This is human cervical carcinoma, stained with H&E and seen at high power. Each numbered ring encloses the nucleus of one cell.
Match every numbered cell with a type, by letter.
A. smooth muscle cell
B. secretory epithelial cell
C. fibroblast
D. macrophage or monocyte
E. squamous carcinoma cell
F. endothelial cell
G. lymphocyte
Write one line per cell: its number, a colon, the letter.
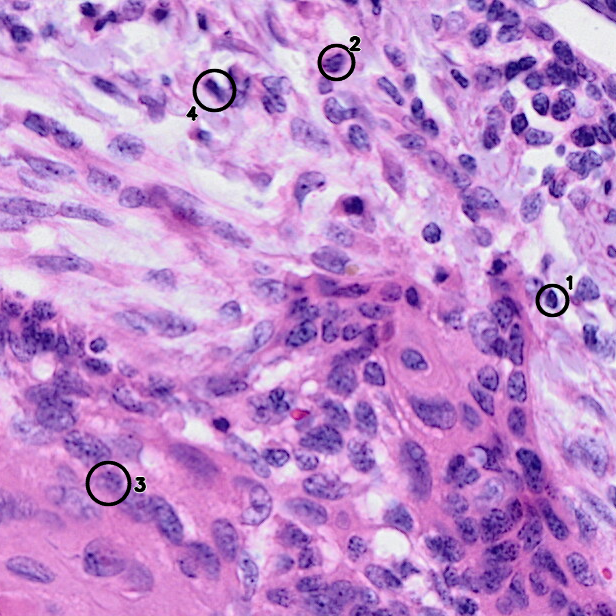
1: G
2: G
3: E
4: G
